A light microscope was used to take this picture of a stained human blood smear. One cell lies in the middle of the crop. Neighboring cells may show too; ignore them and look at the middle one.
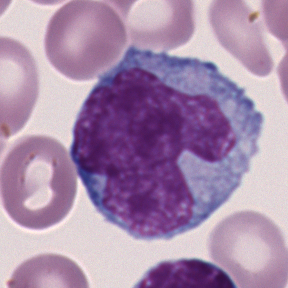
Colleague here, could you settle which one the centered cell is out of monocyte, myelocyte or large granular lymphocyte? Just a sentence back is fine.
The cell found in the middle of this crop is a monocyte.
